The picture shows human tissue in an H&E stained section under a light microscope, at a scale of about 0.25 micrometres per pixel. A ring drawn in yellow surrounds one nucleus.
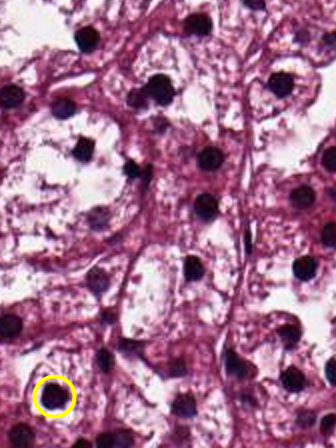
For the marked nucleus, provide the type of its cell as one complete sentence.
In the section shown, the marked nucleus belongs to an adrenal cortical cell.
